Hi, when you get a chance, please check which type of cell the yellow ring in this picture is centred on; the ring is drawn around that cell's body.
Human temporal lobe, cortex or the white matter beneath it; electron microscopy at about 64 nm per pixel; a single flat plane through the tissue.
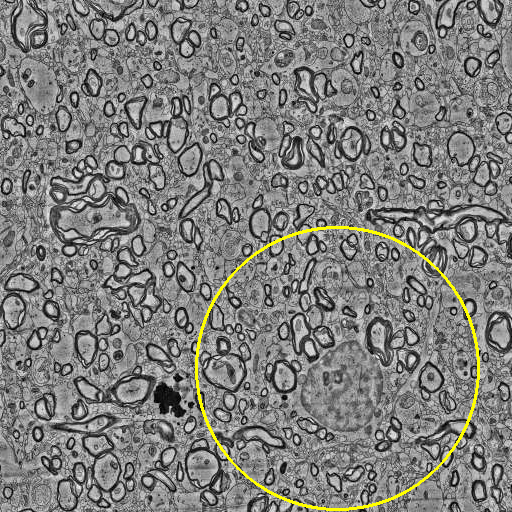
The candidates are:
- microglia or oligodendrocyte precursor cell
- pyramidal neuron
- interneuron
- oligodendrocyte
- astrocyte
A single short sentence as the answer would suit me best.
The ring is drawn around the body of an oligodendrocyte.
